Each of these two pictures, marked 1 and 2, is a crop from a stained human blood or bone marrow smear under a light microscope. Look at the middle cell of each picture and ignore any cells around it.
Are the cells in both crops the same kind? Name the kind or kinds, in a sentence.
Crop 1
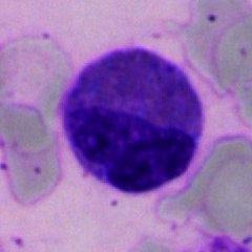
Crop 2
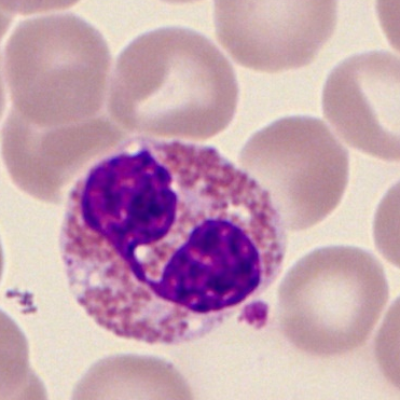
Yes, the two crops show eosinophils at their centres.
